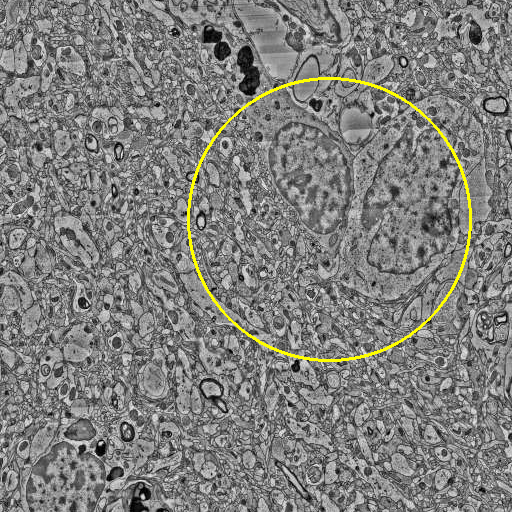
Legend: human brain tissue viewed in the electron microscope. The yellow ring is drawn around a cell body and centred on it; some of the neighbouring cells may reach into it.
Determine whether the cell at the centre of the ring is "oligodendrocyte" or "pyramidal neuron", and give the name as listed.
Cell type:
oligodendrocyte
